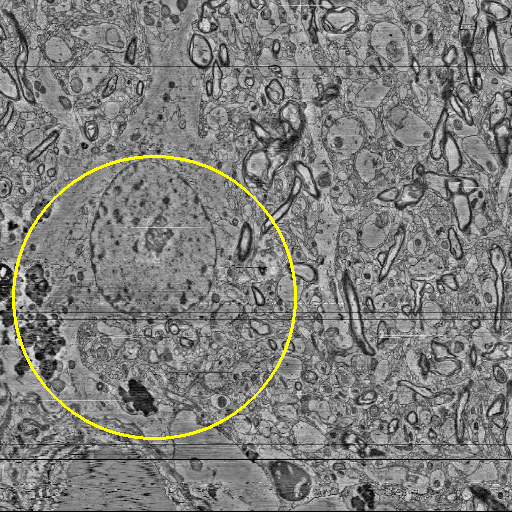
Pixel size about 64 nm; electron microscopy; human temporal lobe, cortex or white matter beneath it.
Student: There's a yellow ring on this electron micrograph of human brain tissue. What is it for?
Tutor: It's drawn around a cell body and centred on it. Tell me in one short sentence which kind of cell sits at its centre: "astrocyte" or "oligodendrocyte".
The cell at the centre of the ring is an astrocyte.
